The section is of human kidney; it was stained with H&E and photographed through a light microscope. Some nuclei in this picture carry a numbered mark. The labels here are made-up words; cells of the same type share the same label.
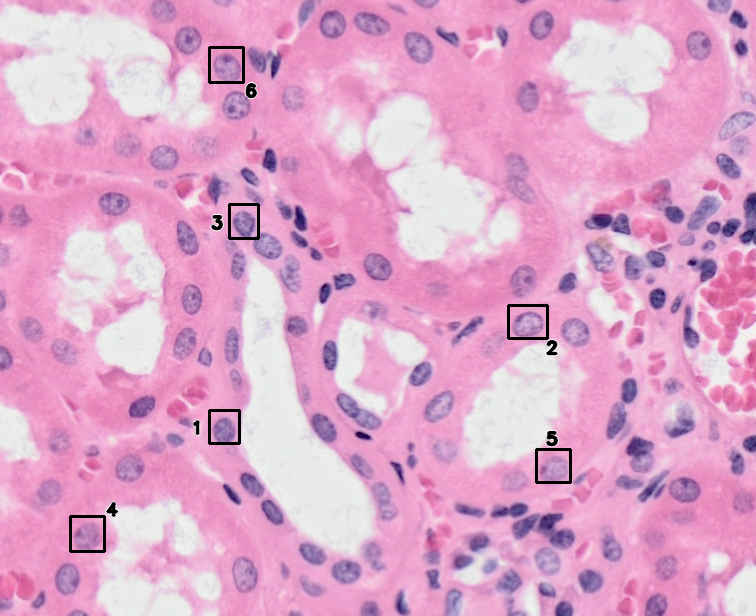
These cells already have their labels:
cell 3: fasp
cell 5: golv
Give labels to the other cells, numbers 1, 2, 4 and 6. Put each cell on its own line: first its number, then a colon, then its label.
1: fasp
2: golv
4: golv
6: golv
